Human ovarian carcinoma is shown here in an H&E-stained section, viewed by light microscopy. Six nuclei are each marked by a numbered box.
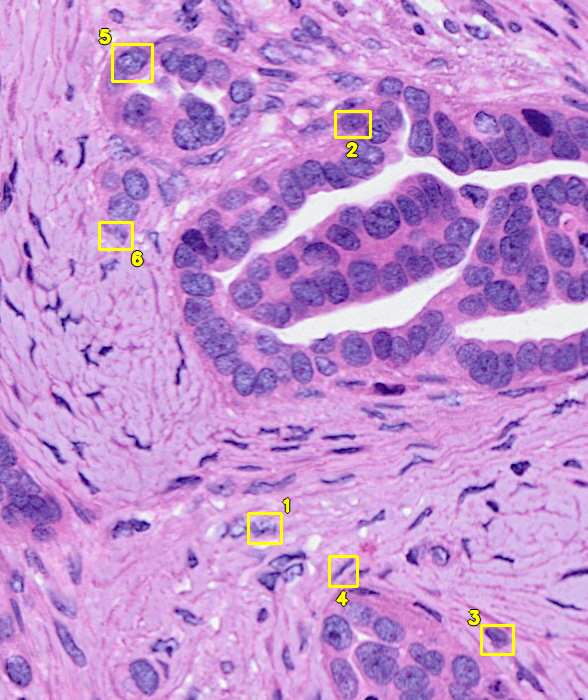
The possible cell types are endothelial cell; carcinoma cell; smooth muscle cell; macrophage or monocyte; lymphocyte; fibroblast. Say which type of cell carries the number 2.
carcinoma cell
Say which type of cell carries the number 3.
fibroblast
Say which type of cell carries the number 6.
fibroblast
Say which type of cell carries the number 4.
fibroblast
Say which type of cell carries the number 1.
fibroblast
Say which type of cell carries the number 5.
carcinoma cell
